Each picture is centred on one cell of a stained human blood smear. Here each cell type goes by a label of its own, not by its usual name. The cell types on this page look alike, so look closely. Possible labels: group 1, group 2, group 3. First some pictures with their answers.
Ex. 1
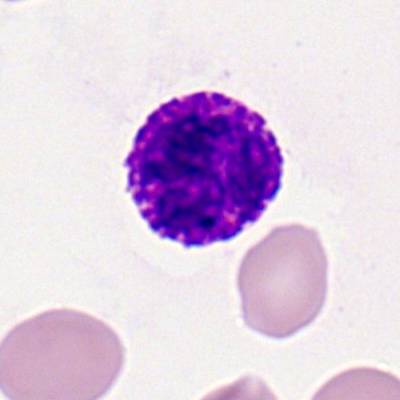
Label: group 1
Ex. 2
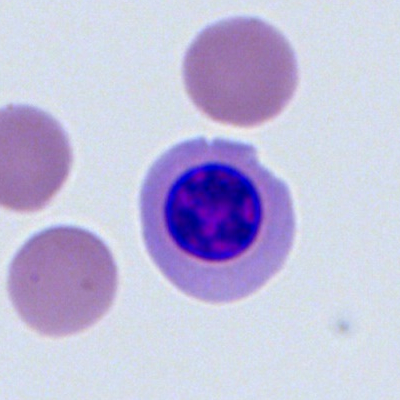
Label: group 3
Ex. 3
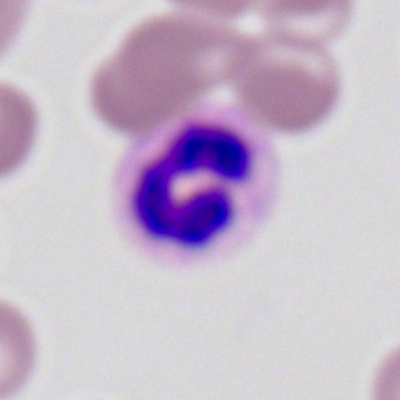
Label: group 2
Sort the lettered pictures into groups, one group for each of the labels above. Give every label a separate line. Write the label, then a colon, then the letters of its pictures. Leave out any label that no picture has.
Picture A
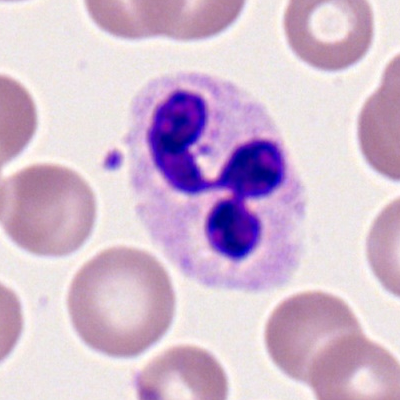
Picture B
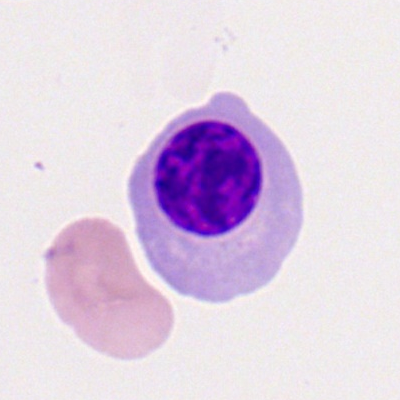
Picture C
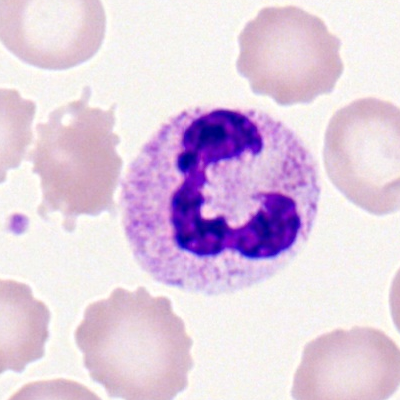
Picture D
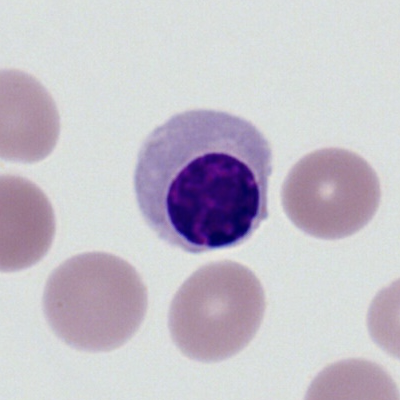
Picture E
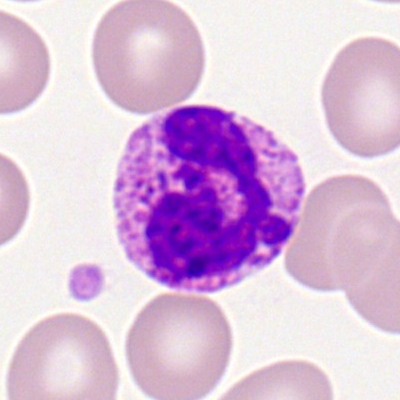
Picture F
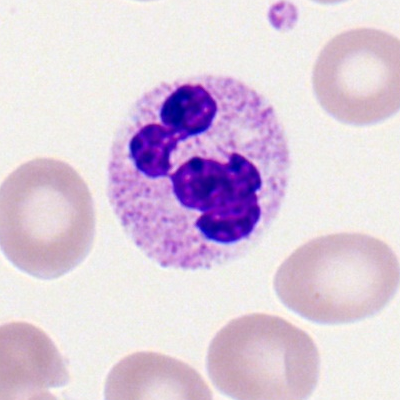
group 1: E
group 2: A, C, F
group 3: B, D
